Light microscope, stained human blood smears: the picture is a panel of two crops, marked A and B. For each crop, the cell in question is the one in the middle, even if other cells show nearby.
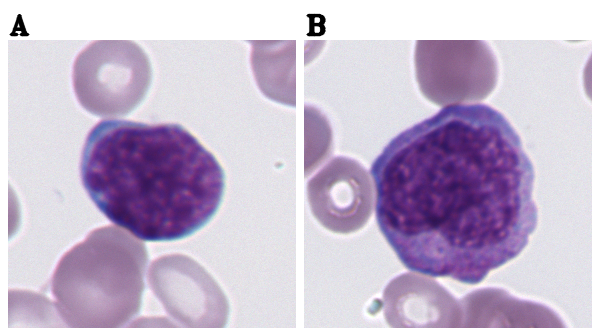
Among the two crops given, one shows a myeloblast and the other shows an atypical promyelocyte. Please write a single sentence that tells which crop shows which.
Identification: crop A is a myeloblast; crop B is an atypical promyelocyte.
